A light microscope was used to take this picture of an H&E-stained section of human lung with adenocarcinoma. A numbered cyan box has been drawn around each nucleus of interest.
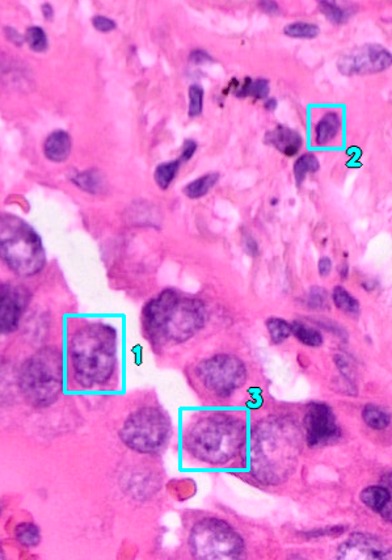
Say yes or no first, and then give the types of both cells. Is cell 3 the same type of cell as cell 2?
No, cell 3 here is a carcinoma cell and cell 2 here is a mast cell.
